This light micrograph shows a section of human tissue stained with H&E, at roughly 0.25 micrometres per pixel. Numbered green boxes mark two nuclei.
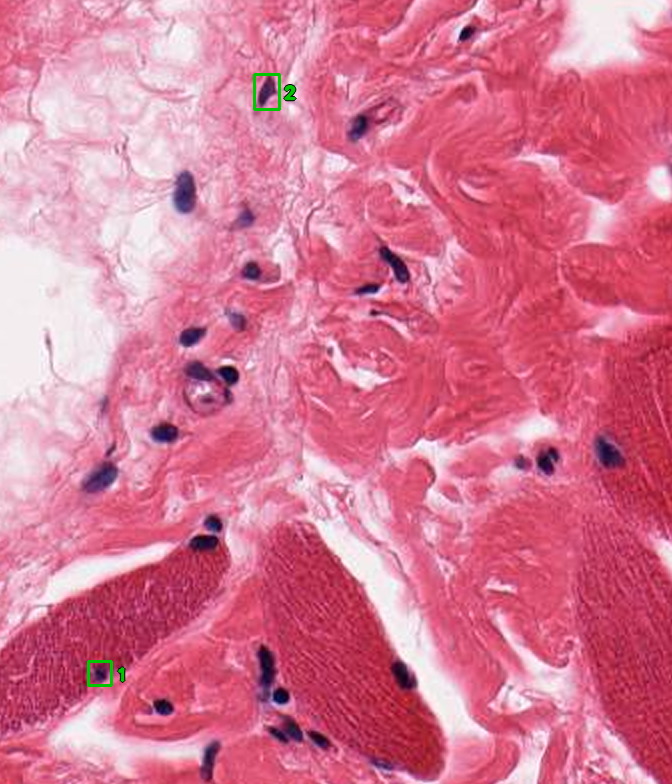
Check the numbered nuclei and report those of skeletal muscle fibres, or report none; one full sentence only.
Exactly one numbered nucleus, nucleus 1, belongs to a skeletal muscle fibre.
